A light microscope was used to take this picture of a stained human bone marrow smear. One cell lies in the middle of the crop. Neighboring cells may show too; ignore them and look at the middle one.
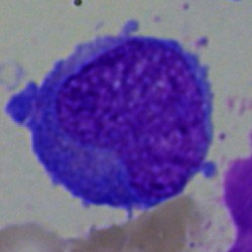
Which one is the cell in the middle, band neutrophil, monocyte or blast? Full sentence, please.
The cell in the middle of this crop is a blast.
